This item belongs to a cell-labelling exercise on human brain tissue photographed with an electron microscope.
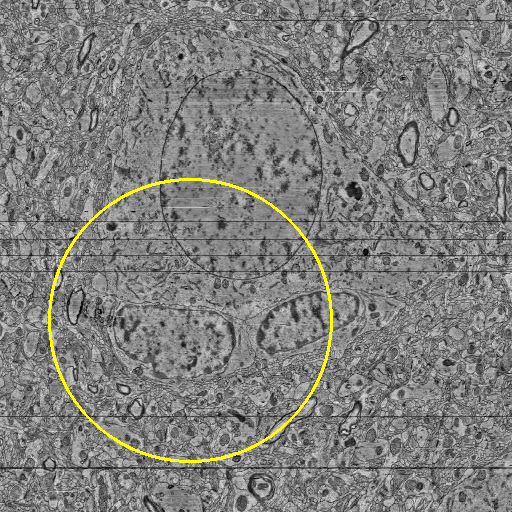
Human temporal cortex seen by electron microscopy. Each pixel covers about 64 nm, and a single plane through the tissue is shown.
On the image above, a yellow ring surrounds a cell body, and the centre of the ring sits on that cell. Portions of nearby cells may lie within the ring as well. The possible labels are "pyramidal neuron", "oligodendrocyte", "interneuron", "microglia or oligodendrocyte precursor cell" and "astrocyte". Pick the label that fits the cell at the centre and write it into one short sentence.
This cell should be labelled as a microglial cell or oligodendrocyte precursor cell.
